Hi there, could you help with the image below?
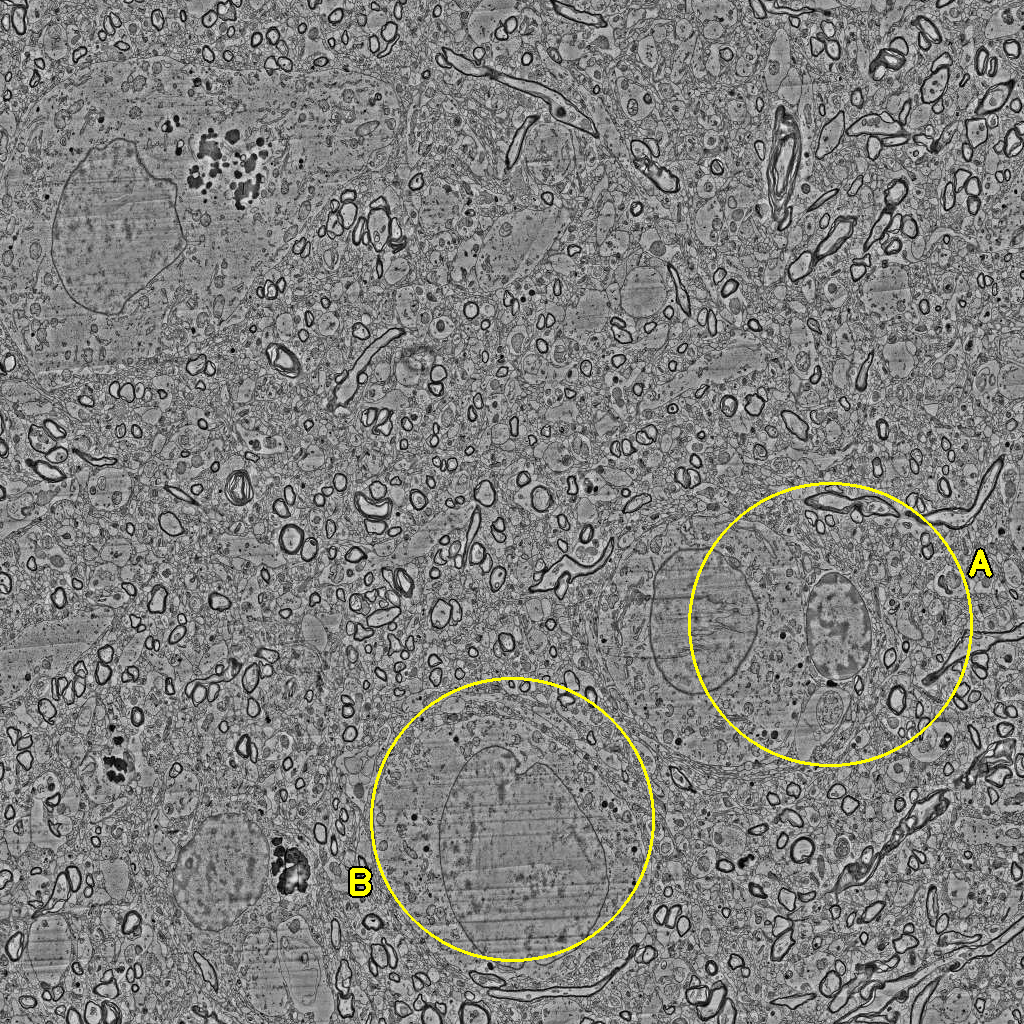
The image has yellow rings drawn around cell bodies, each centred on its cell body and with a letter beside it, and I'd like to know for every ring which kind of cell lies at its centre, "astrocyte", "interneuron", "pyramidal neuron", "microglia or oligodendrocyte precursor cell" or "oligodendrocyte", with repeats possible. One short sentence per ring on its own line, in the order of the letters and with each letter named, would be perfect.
Ring A is placed around a microglial cell or oligodendrocyte precursor cell.
Ring B is placed around a pyramidal neuron.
